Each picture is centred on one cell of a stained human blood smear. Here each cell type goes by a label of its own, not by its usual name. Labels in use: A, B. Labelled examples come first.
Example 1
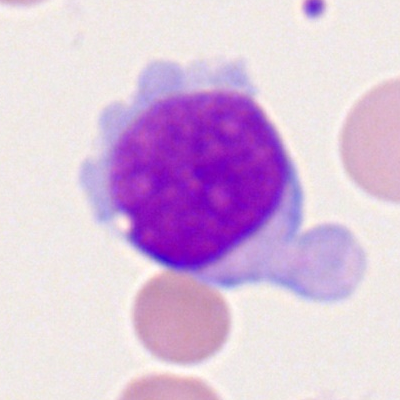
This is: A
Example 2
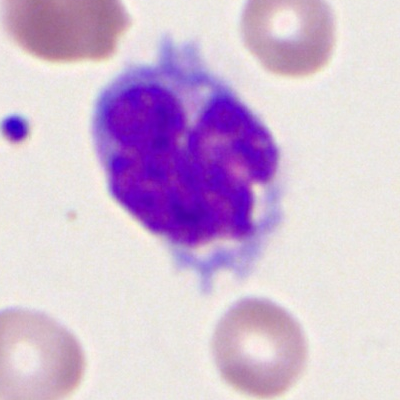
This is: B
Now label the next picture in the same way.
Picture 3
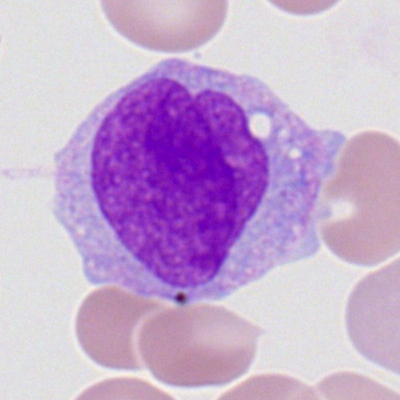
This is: B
